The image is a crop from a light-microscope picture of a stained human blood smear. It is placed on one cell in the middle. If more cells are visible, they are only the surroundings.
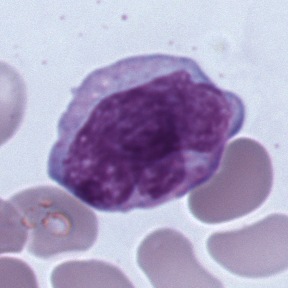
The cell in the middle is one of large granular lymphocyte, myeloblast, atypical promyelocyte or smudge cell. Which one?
atypical promyelocyte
